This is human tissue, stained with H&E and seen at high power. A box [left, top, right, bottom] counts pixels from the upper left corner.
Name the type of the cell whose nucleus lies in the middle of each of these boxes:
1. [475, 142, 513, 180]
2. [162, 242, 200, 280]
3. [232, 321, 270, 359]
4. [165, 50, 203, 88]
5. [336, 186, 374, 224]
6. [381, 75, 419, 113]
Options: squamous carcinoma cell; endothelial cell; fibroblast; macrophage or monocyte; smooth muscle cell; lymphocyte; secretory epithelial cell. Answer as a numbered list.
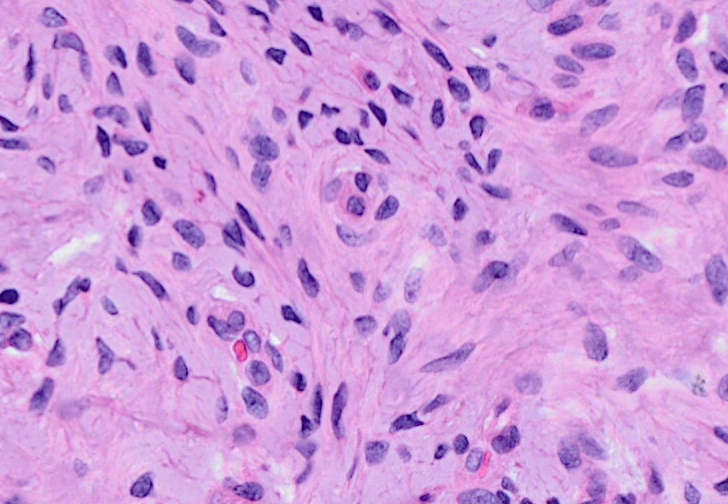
1. fibroblast
2. fibroblast
3. endothelial cell
4. fibroblast
5. endothelial cell
6. fibroblast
